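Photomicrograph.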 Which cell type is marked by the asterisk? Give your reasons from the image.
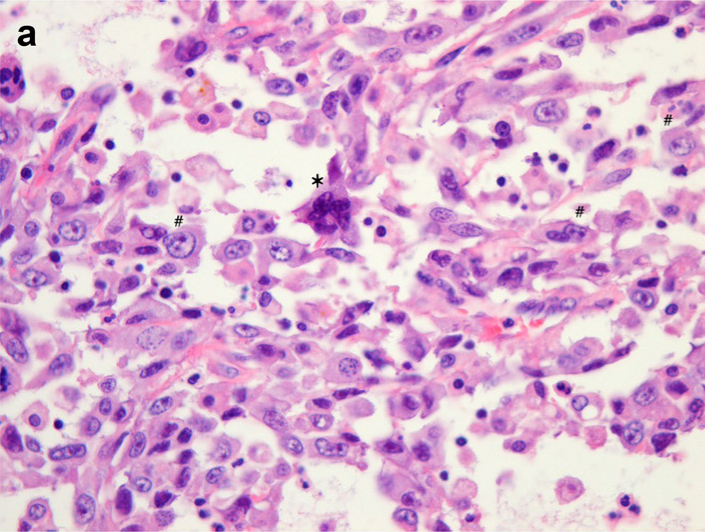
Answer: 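The cell beside the asterisk is larger than its neighbours. It holds a cluster of several dark, overlapping nuclei. The answer: multinucleated tumor giant cell.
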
